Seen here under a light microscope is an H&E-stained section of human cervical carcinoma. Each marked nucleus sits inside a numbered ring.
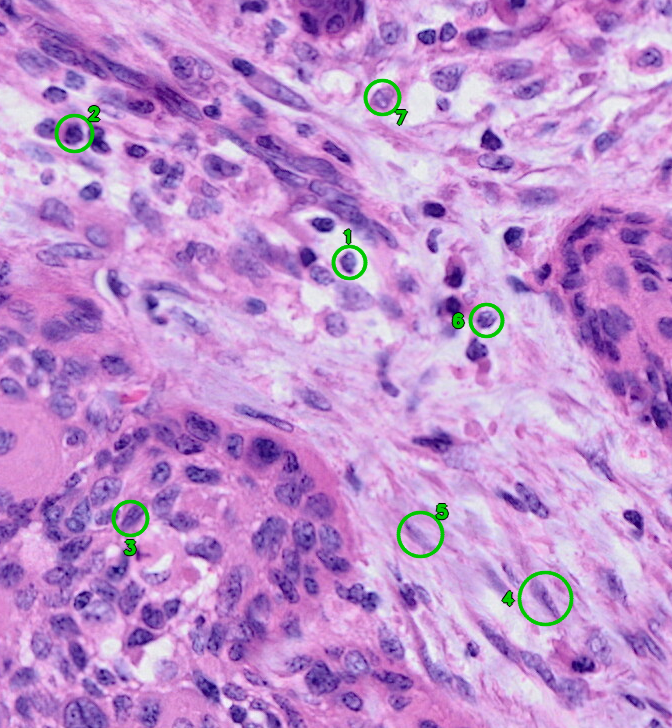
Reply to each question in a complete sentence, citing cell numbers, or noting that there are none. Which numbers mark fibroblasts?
The cells given the numbers 4 and 5 are fibroblasts.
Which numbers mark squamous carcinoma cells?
Cell 3 is a squamous carcinoma cell, and this holds for no other numbered cell.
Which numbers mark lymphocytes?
The cells numbered 1, 2 and 6 are, by type, lymphocytes.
